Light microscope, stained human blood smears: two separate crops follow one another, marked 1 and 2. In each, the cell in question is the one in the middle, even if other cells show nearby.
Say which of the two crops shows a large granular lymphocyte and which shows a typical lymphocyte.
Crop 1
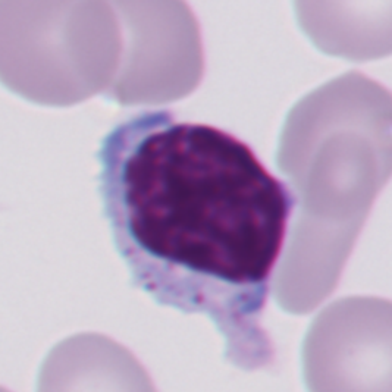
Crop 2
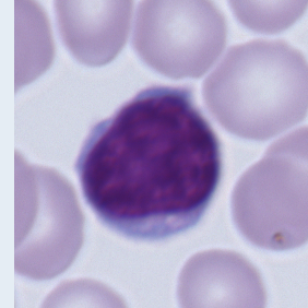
1: large granular lymphocyte
2: typical lymphocyte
